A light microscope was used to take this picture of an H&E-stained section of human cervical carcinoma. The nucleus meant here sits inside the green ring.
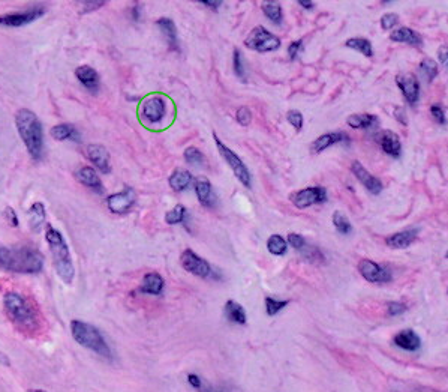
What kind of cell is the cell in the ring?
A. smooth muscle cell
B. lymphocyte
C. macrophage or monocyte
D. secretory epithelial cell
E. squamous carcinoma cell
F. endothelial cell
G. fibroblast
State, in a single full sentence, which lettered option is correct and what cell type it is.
In this section the cell in the ring is a smooth muscle cell; option A is therefore correct.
